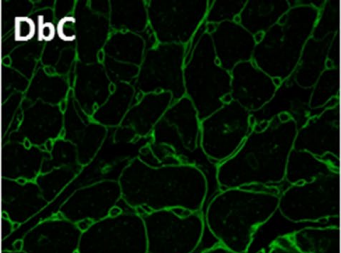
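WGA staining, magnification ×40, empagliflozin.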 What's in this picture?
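Heart muscle cut in cross section, showing myocytes as closely packed, rounded to polygonal profiles, each rimmed by a thin bright green outline. The interiors of the cells are dark and largely featureless, so the outlines form a mesh like a honeycomb. The profiles vary in size, with many large, rounded cells. Small gaps and tiny green rings lie at the corners where neighbouring cells meet. The outlines make the area of each cell easy to trace.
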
